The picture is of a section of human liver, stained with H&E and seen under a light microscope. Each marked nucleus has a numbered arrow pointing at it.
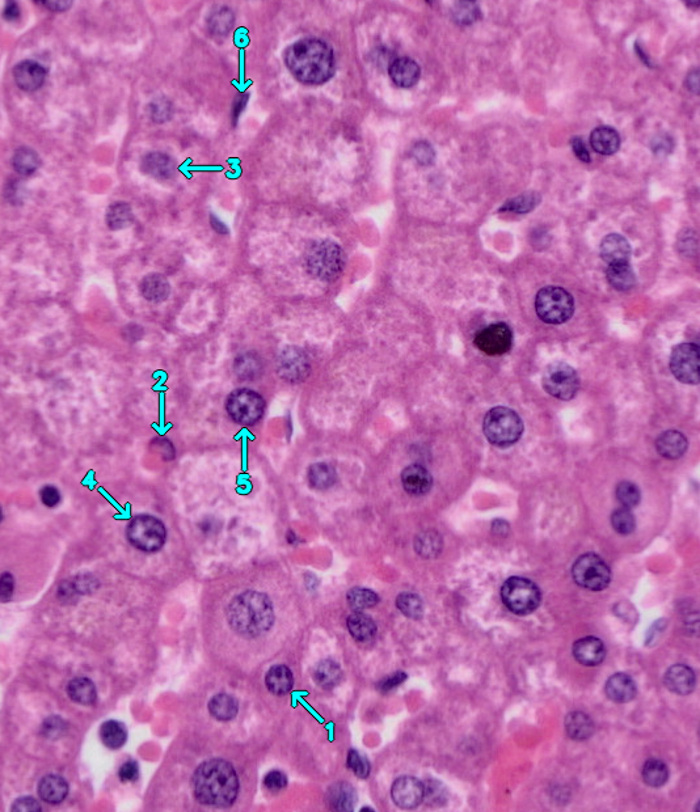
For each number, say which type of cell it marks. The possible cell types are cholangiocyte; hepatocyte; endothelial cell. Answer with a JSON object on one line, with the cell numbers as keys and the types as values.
{"1": "hepatocyte", "2": "endothelial cell", "3": "hepatocyte", "4": "hepatocyte", "5": "hepatocyte", "6": "endothelial cell"}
